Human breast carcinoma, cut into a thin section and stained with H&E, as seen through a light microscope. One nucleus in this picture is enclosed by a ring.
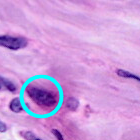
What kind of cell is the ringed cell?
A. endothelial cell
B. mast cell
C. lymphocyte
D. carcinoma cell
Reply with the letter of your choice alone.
B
